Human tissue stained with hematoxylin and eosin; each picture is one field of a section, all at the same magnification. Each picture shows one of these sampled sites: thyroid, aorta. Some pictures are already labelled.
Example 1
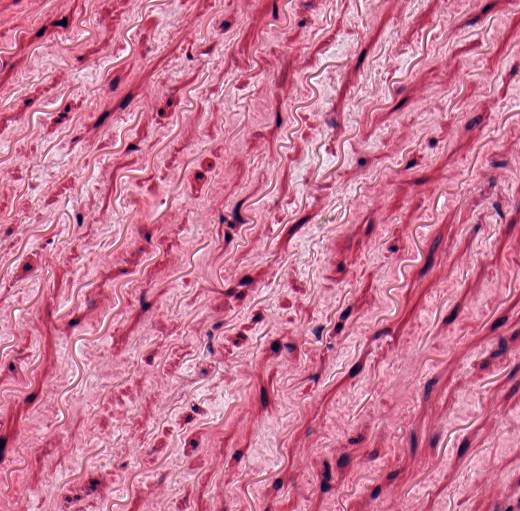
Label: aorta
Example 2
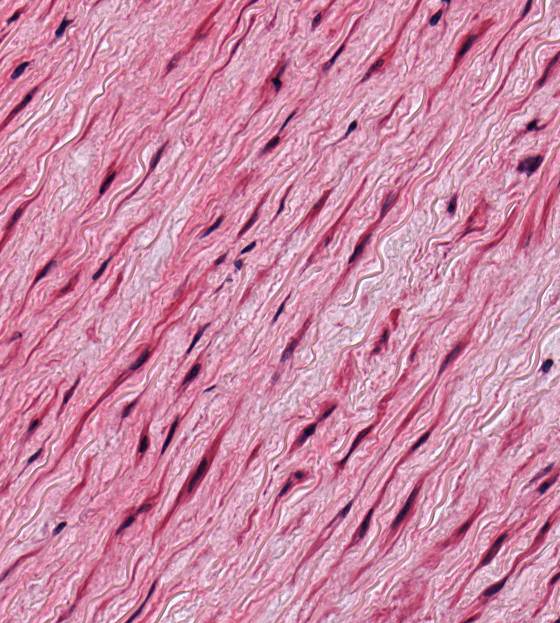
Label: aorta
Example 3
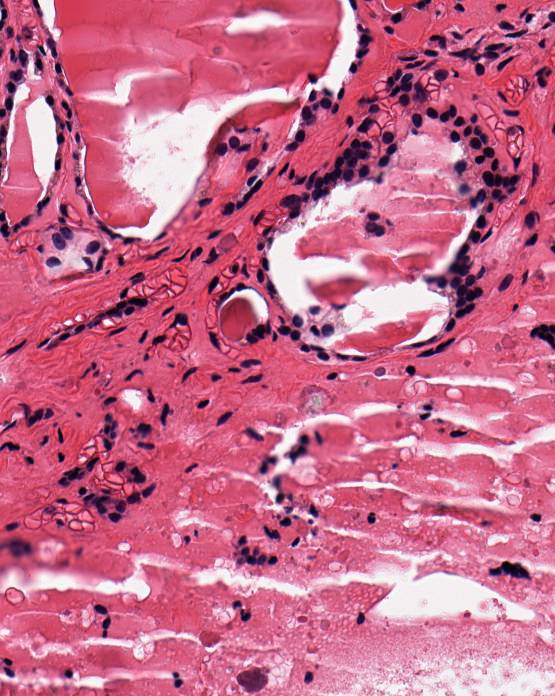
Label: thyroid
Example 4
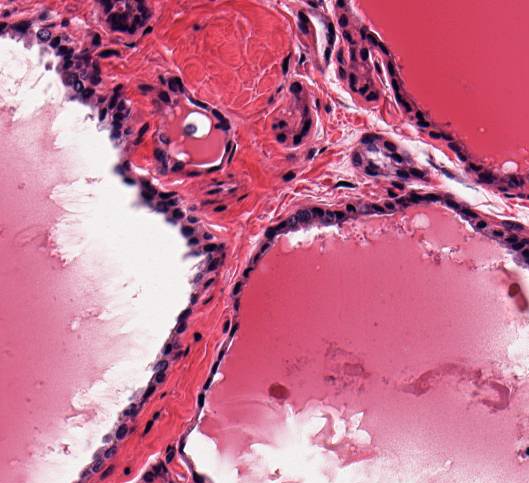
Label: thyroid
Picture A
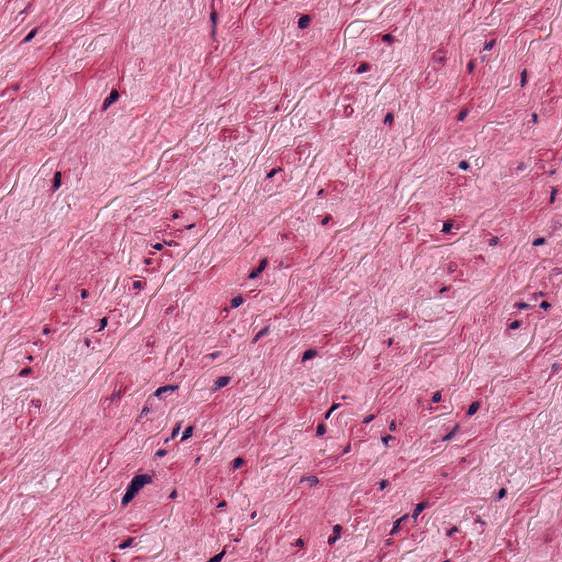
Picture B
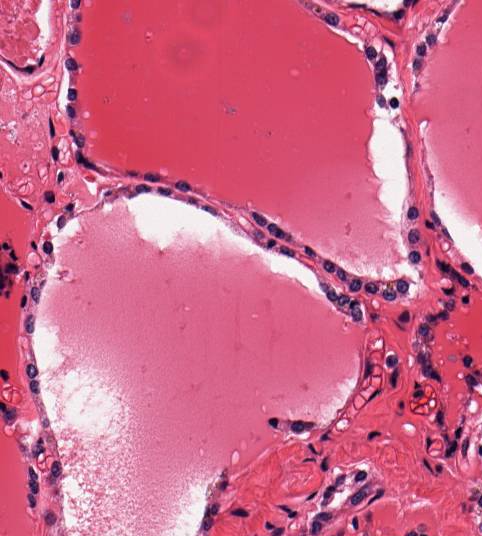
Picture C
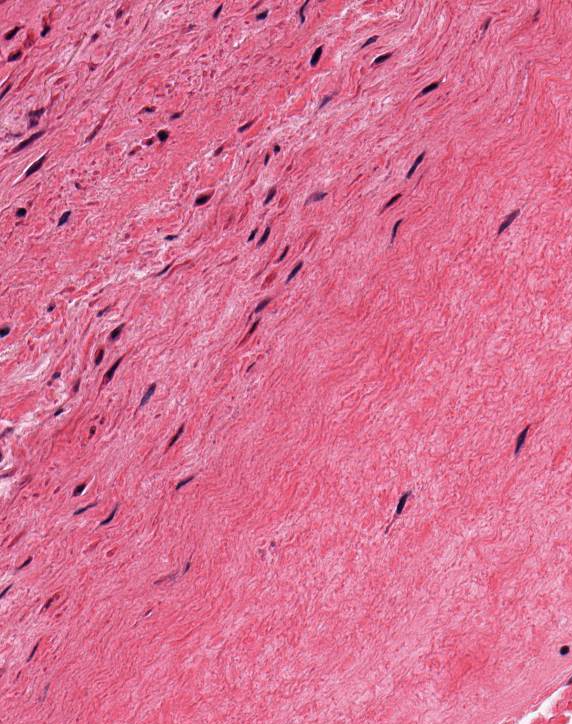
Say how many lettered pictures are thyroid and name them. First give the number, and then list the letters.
1, namely B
